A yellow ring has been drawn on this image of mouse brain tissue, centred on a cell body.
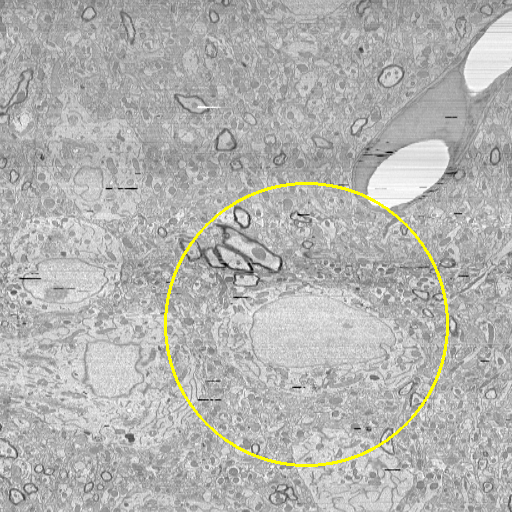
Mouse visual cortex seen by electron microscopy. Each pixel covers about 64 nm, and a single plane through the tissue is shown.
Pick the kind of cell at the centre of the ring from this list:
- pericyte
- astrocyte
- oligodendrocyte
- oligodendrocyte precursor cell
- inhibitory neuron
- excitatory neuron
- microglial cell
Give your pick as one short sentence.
The centre of the ring holds an inhibitory neuron.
